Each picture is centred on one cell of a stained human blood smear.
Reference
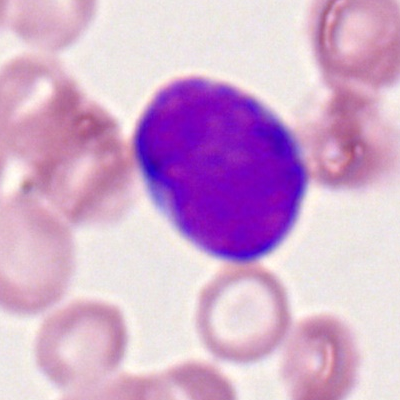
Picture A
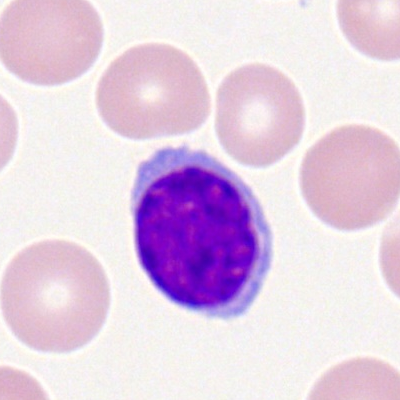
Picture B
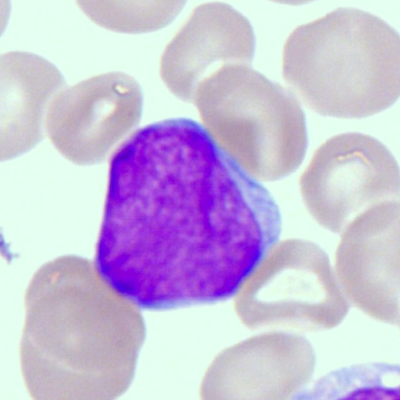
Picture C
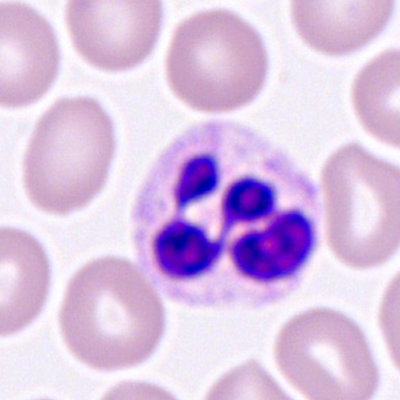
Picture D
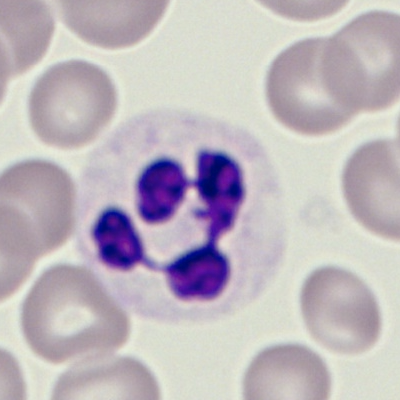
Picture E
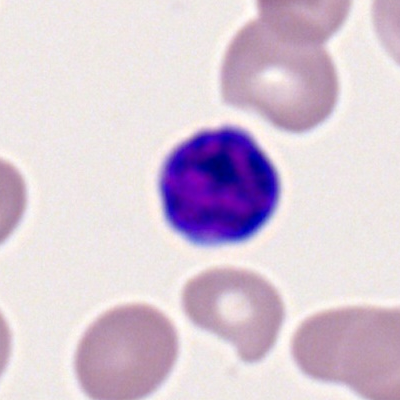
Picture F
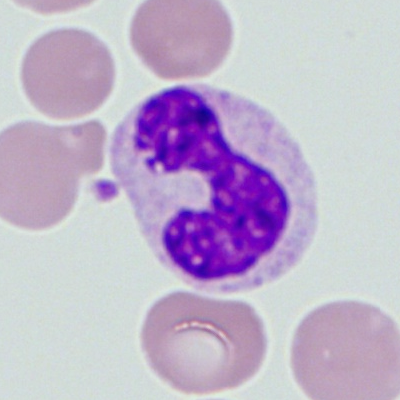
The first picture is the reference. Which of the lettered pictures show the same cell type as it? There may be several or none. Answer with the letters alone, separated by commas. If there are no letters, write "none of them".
B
